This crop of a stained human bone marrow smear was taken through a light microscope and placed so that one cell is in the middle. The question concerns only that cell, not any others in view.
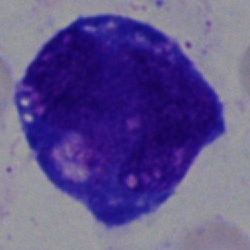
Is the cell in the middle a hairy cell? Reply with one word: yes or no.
no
